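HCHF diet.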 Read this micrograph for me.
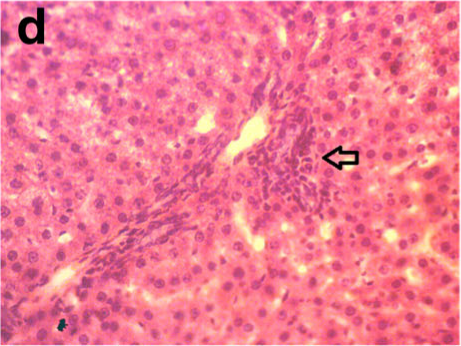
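Liver parenchyma with polygonal hepatocytes having pink cytoplasm and round central nuclei, arranged around a small vessel. A dense aggregate of small cells with dark, round nuclei and scant cytoplasm lies beside the vessel and extends as a band along it.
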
